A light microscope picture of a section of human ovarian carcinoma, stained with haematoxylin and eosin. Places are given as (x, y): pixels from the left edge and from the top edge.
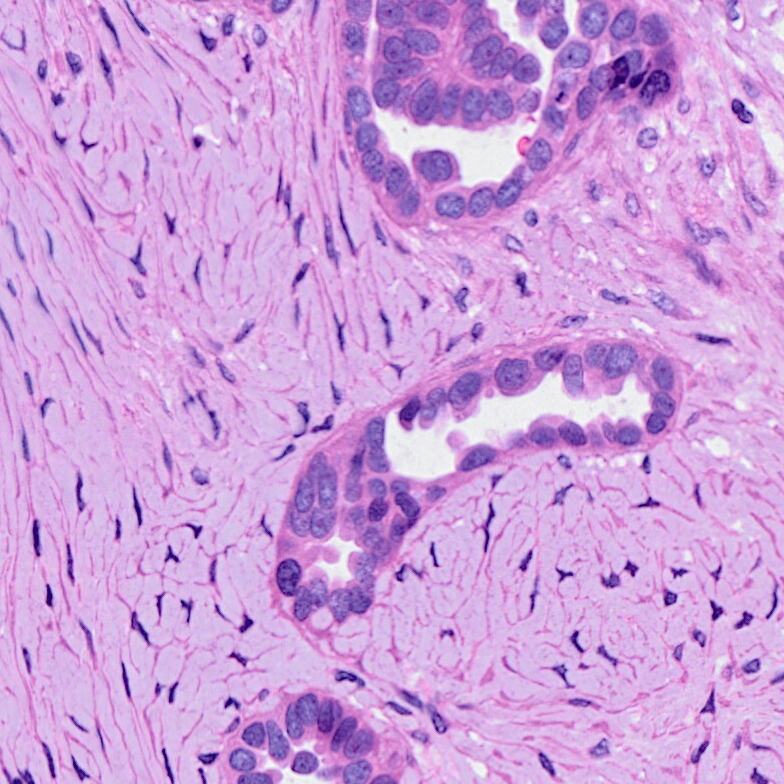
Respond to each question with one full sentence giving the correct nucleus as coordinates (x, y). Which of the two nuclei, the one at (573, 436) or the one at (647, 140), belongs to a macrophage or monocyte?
The nucleus at (647, 140) is identified as belonging to a macrophage or monocyte.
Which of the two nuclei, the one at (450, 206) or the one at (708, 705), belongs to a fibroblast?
It is the nucleus at (708, 705) that belongs to a fibroblast.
